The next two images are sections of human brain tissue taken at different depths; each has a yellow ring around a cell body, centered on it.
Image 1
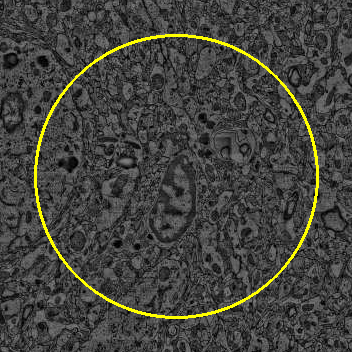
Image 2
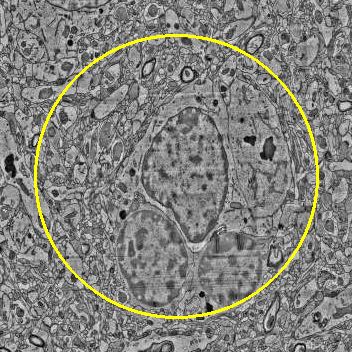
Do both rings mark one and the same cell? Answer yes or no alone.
no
